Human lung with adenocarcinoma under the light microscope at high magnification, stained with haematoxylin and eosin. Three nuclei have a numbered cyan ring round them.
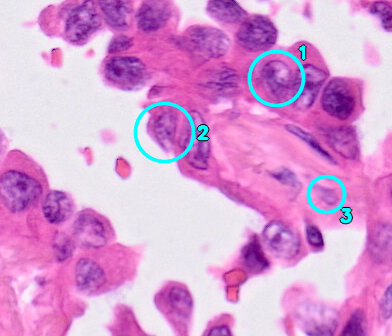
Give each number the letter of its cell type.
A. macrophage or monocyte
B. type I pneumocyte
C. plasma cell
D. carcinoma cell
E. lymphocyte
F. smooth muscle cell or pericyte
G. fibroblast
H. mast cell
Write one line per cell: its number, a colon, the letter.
1: D
2: D
3: G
